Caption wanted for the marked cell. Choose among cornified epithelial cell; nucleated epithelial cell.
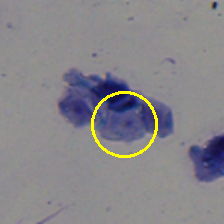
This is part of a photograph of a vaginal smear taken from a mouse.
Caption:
Ringed in yellow is a nucleated epithelial cell.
